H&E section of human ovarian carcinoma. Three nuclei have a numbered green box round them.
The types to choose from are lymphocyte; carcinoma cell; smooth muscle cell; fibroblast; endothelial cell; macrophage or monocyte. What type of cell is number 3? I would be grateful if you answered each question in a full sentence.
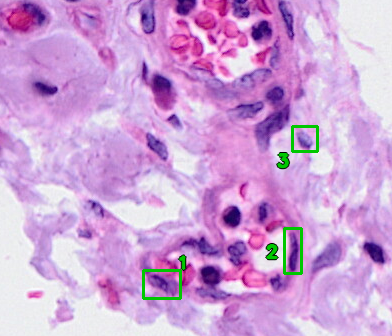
The cell that goes by number 3 is a macrophage or monocyte.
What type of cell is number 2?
Cell 2 in the field is an endothelial cell.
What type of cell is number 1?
Marked with the number 1, this cell is an endothelial cell.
